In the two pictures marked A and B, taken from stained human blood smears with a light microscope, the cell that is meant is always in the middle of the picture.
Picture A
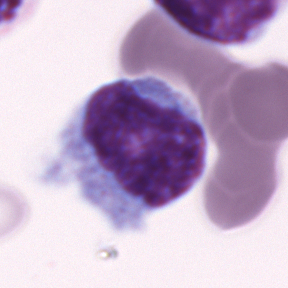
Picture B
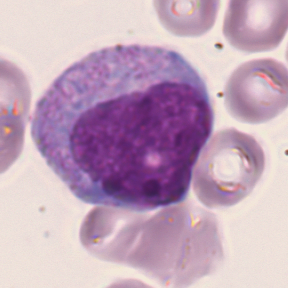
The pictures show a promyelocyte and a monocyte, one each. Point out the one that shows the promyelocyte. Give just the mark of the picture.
B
